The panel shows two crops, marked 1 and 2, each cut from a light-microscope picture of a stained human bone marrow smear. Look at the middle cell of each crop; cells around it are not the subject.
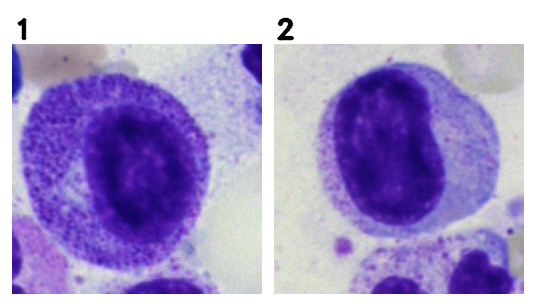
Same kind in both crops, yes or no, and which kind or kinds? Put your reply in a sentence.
No, crop 1 shows a myelocyte, and it is crop 2 that shows a metamyelocyte.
